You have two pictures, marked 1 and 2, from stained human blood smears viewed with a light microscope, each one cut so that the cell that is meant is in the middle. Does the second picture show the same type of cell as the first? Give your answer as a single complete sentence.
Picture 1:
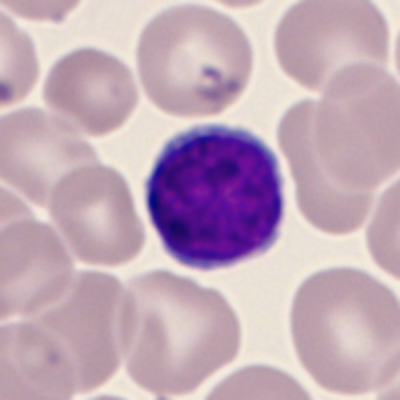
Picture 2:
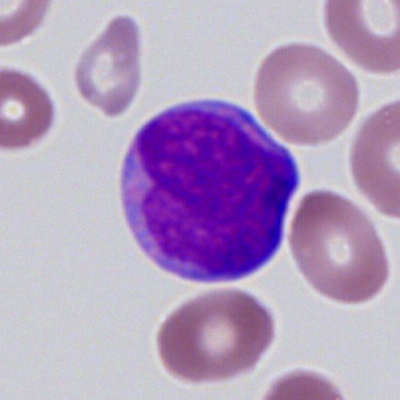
No. Picture 1 shows a lymphocyte, but picture 2 shows a myeloblast.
